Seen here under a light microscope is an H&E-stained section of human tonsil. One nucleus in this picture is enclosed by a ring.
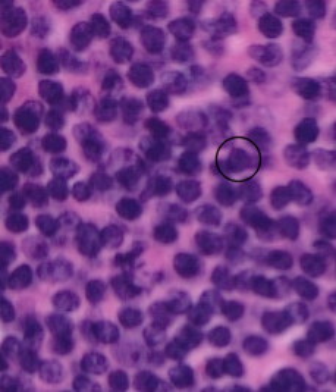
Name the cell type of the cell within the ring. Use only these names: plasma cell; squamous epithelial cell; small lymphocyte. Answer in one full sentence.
In cellular terms, the cell within the ring is a small lymphocyte.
